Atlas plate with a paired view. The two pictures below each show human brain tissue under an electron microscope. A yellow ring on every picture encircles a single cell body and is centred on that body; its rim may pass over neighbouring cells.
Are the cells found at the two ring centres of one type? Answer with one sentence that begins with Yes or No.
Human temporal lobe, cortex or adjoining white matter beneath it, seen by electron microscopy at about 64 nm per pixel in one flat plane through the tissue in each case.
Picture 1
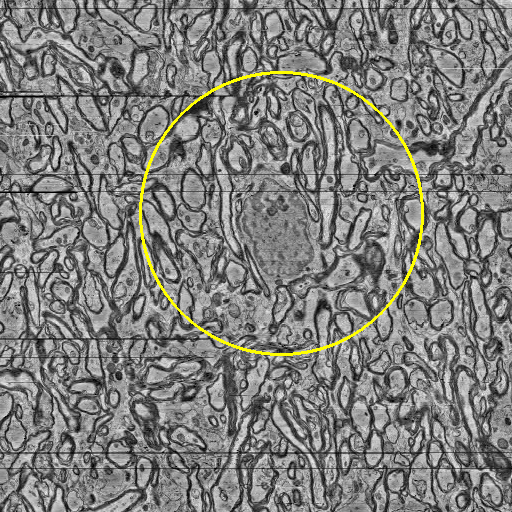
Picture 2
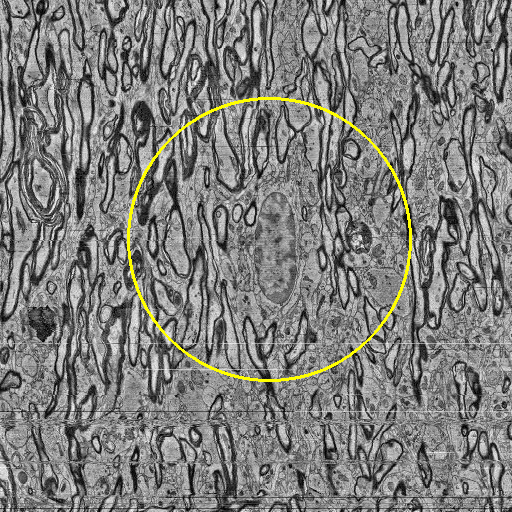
No, the two cells lying at the centres of the rings are of two types.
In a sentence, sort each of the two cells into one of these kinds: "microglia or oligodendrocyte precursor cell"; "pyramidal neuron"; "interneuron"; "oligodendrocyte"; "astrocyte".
The first of the two cells is an oligodendrocyte, and the second is a microglial cell or oligodendrocyte precursor cell.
